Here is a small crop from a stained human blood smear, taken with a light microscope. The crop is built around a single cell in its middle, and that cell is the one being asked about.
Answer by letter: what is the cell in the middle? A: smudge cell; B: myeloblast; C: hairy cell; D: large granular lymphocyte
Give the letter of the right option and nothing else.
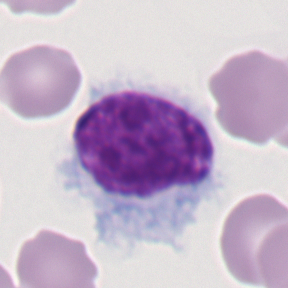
C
